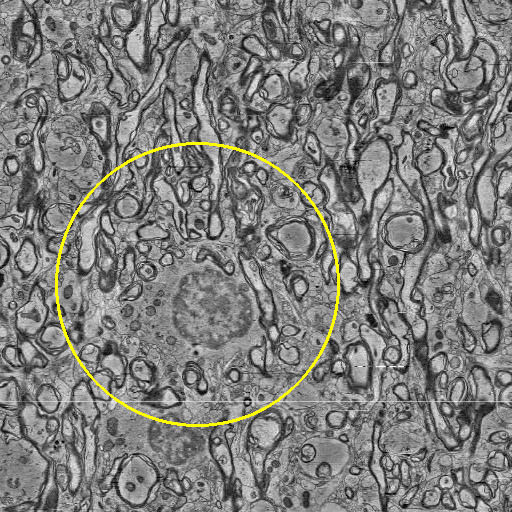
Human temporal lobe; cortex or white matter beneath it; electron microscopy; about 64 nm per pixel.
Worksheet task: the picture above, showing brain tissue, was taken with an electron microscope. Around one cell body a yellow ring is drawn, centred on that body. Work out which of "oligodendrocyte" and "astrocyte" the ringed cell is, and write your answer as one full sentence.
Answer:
It is an oligodendrocyte whose cell body lies at the centre of the yellow ring.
